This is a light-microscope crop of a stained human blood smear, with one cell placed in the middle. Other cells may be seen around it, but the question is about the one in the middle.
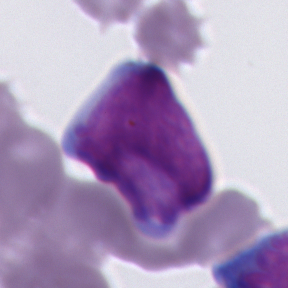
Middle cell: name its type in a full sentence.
The center cell of this crop is a myeloblast.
